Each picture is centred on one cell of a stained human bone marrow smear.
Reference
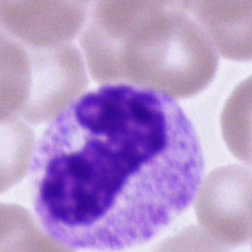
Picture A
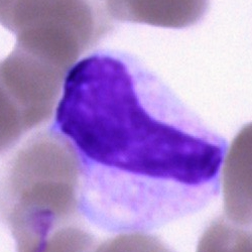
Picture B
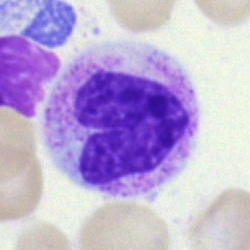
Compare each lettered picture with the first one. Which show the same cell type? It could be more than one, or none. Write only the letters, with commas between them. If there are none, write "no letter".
A, B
